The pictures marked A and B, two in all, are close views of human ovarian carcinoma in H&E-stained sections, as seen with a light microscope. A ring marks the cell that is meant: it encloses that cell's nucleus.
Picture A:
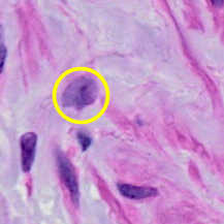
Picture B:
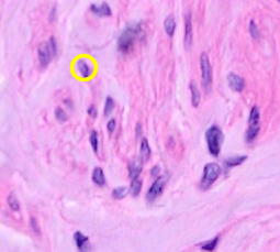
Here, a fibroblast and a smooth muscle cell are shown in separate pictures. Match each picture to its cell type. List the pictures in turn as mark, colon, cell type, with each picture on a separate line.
A: fibroblast
B: smooth muscle cell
